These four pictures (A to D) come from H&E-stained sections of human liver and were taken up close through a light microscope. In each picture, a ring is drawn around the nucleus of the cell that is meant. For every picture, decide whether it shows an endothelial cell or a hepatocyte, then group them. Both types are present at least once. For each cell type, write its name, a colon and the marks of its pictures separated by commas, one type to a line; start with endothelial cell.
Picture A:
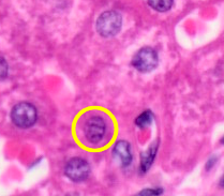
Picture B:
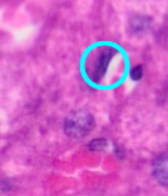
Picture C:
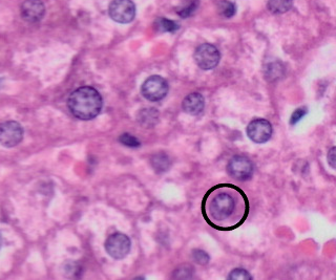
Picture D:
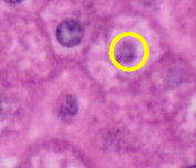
endothelial cell: B
hepatocyte: A, C, D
